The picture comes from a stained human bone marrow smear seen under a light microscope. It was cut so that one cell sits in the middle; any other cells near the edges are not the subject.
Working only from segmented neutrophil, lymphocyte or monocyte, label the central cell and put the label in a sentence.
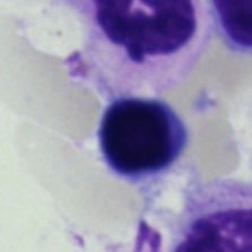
Regarding the central cell, it is a lymphocyte.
